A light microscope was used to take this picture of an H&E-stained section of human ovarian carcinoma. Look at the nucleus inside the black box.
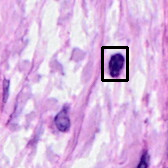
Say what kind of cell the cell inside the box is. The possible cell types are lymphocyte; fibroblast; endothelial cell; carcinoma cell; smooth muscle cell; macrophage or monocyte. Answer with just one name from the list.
lymphocyte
